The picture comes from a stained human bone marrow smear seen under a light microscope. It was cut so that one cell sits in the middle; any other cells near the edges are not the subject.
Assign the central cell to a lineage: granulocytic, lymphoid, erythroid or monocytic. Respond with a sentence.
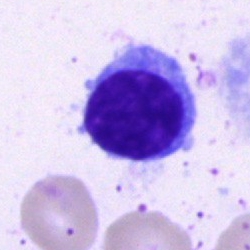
Of lymphoid lineage is the cell at the center of the crop.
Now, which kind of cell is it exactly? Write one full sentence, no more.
The cell at the central position in this crop is a lymphocyte.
